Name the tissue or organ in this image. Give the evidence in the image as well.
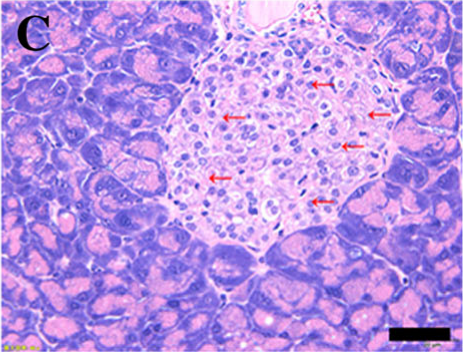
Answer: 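Pancreatic islets. A pale-pink cluster of cells lies in the center. The cluster is surrounded by densely purple-staining acinar tissue.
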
